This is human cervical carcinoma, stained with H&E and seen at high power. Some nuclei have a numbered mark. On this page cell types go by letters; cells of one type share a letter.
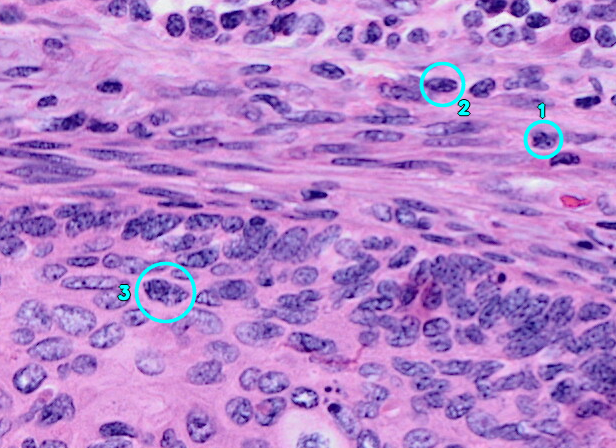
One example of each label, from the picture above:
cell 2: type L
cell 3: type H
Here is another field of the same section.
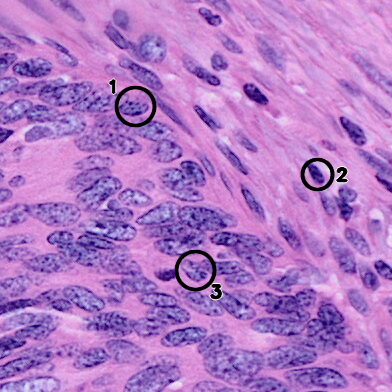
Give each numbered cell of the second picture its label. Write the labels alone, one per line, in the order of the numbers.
type H
type L
type H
